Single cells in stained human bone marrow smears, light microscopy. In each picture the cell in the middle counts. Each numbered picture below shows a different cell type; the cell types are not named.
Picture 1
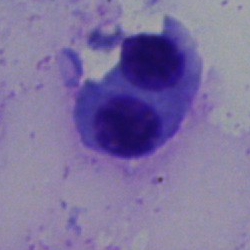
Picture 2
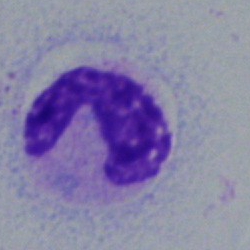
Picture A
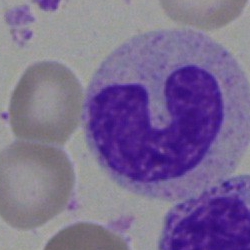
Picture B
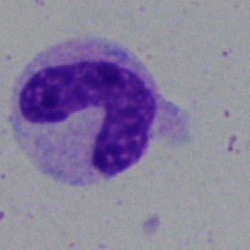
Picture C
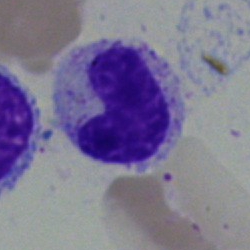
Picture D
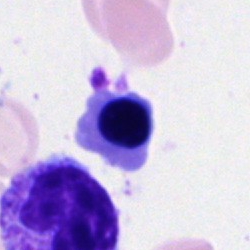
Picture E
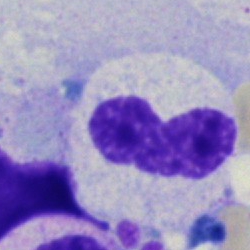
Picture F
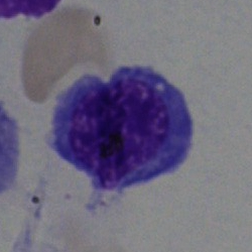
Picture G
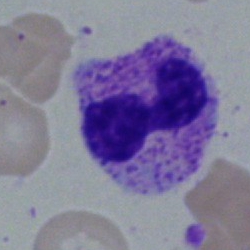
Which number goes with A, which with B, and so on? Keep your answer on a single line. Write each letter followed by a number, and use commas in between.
A 2, B 2, C 2, D 1, E 2, F 1, G 2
